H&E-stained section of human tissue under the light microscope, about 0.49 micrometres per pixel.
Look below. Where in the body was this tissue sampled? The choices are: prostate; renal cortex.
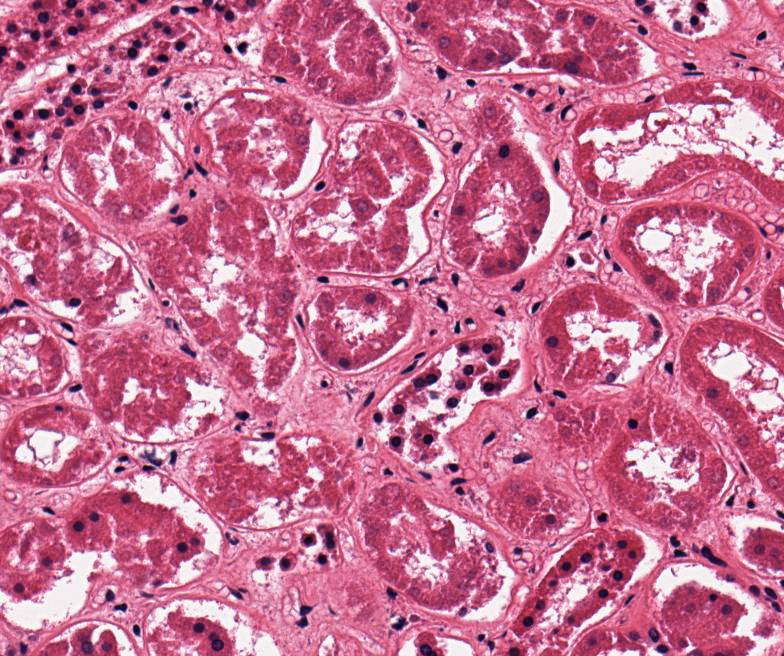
renal cortex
